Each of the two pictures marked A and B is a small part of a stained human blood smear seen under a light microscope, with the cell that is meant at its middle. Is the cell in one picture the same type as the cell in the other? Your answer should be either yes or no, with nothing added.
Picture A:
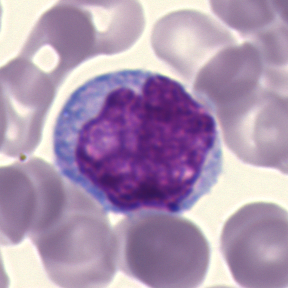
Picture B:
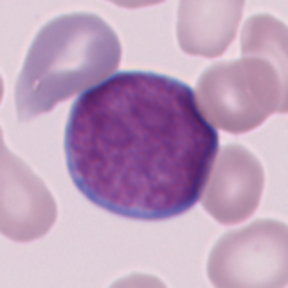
no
